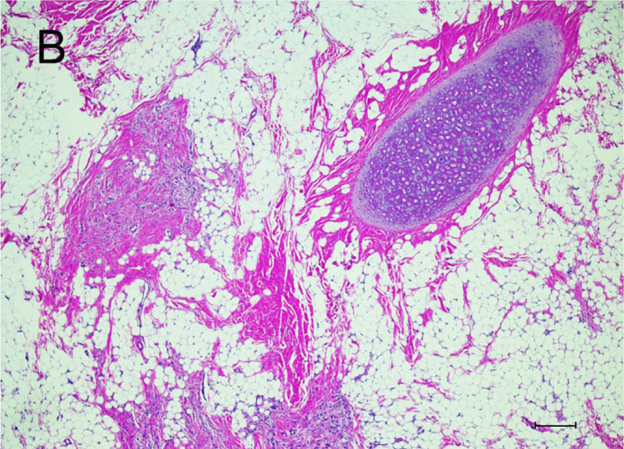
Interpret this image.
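This field is mostly fat, with islands of other mesodermal tissues in it. The background is made of large, round adipocytes that look empty, each outlined only by a thin pink membrane. On the right sits an oval island of cartilage: a pale bluish-purple matrix studded with small cells in lacunae, wrapped in a pink fibrous rim. To the left and below are strands and patches of denser pink fibrous tissue containing elongated nuclei and small vessels, running between the fat lobules.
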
